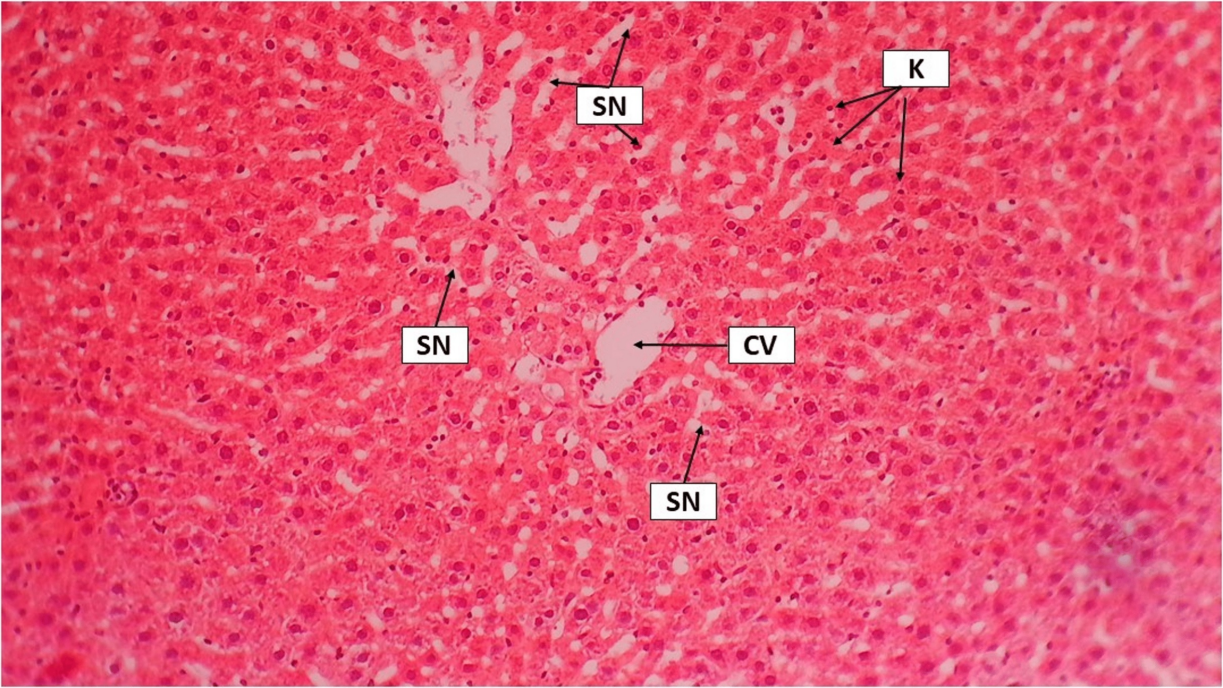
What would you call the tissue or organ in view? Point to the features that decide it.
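Polygonal pink cells with round central nuclei fill the field. The cells form plates that radiate from a central empty vessel. Narrow pale channels run between the cell plates.
Liver.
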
